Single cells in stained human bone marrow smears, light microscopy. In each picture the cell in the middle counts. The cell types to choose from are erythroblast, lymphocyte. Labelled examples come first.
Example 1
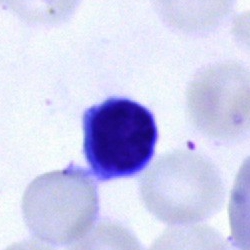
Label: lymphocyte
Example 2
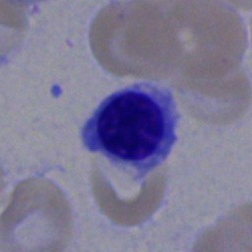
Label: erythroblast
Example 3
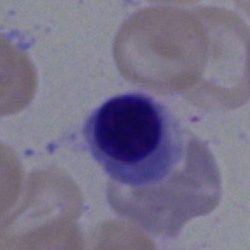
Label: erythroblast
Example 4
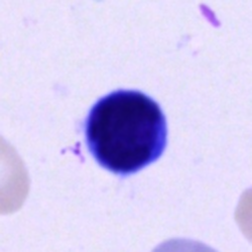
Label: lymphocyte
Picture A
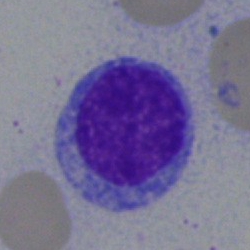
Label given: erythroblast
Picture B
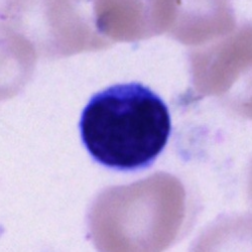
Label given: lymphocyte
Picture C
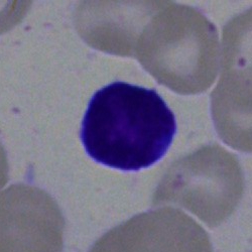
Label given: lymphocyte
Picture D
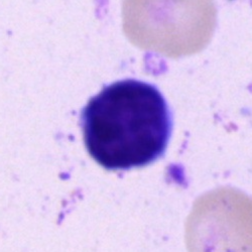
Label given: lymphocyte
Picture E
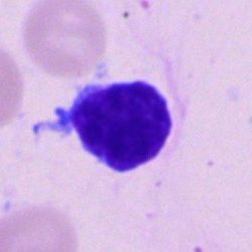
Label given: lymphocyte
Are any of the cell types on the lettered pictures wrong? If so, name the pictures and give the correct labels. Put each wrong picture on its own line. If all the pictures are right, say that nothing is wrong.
Wrong: A (erythroblast); correct: lymphocyte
